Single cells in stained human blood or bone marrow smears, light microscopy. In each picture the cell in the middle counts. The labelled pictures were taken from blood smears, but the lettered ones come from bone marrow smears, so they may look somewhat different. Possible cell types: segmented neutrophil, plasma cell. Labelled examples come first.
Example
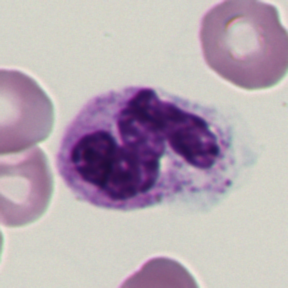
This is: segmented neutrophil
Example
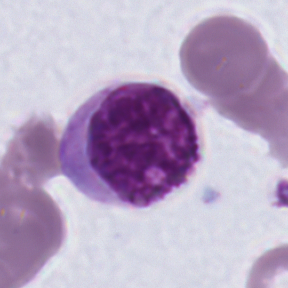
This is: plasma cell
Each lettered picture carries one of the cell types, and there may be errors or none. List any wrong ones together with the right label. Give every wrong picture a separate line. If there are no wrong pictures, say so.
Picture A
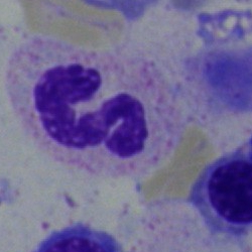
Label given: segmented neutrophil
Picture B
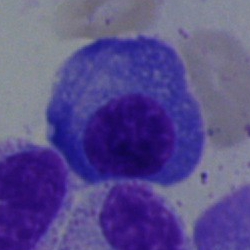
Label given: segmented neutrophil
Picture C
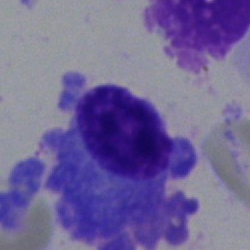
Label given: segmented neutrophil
B: plasma cell, not segmented neutrophil
C: plasma cell, not segmented neutrophil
